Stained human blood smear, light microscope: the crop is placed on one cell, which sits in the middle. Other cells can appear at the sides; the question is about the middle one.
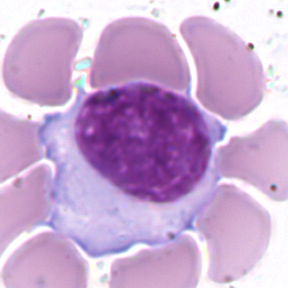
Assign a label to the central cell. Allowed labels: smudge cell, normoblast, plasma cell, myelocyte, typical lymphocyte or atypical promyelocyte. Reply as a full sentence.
Of the cells in this crop, the central one is a plasma cell.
